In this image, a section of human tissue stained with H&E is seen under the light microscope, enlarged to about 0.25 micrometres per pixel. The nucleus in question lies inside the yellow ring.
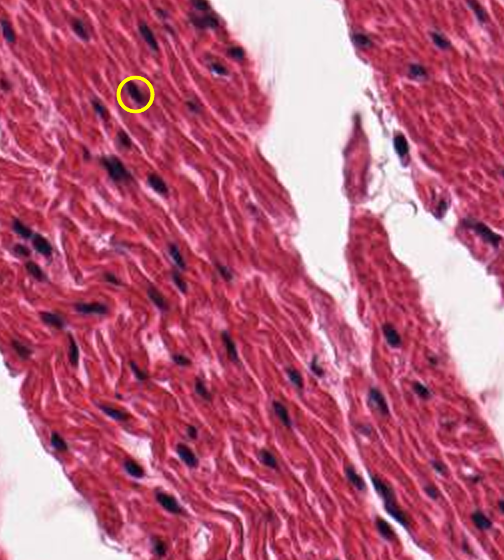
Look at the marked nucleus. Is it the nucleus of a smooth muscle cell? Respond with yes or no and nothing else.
yes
